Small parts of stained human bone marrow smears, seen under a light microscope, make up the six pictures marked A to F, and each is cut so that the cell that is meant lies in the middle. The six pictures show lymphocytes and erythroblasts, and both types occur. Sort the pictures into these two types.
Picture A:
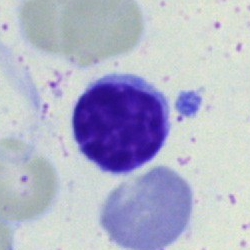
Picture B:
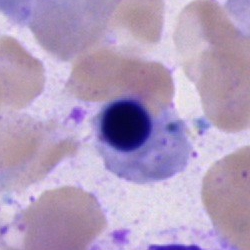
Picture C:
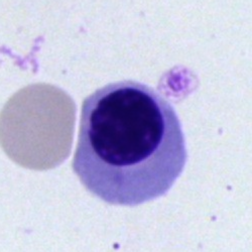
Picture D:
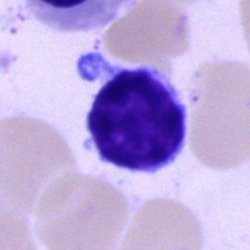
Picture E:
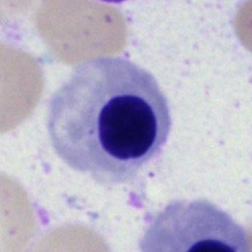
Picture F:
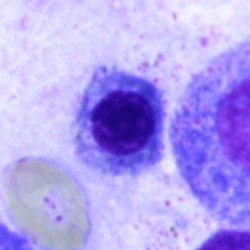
A: lymphocyte
B: erythroblast
C: erythroblast
D: lymphocyte
E: erythroblast
F: erythroblast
